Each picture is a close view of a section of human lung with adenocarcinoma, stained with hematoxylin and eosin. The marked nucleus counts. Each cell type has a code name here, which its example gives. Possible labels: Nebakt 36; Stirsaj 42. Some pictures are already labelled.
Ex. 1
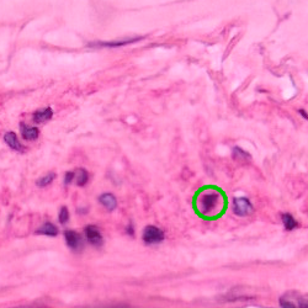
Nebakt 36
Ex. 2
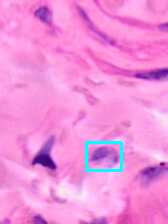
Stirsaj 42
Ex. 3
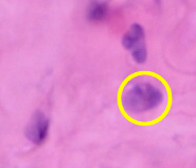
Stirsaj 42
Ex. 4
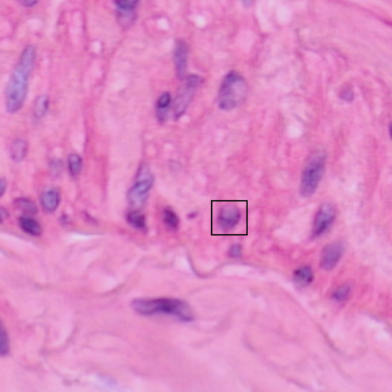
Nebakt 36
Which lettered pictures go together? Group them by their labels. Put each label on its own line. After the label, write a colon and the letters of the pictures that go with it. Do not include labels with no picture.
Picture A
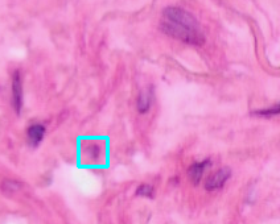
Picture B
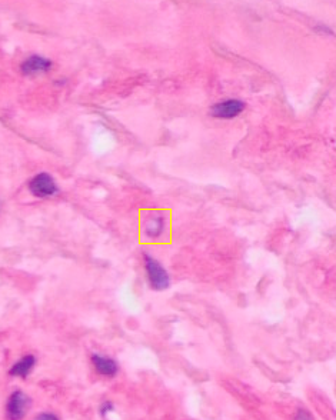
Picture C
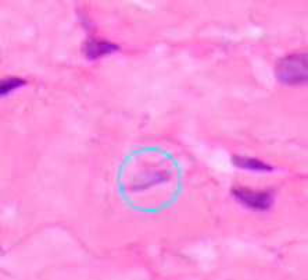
Nebakt 36: A, B
Stirsaj 42: C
